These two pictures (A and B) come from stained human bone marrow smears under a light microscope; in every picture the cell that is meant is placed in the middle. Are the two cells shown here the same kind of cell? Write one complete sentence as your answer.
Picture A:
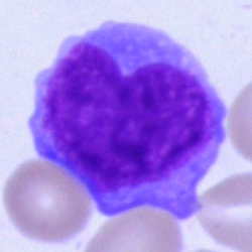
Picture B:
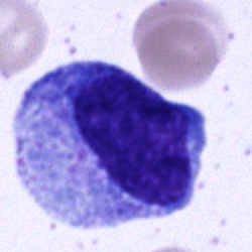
No. Picture A shows a blast, but picture B shows a promyelocyte.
